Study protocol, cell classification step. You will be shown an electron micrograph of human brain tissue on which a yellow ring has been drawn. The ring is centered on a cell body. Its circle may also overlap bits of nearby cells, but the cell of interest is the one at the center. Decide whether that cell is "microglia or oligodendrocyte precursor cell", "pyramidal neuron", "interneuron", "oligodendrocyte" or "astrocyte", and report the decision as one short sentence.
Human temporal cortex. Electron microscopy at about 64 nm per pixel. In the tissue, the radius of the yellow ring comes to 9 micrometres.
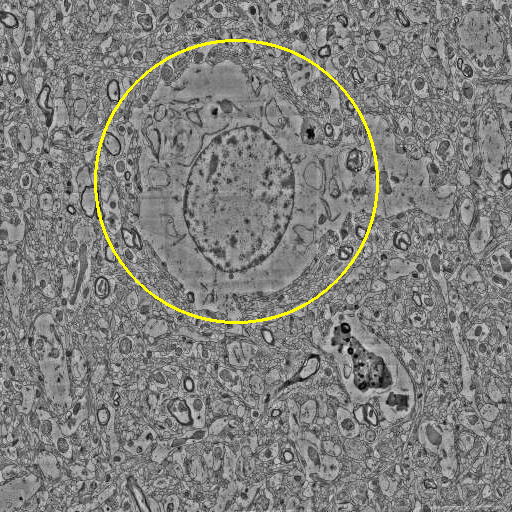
The marked cell is an astrocyte.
